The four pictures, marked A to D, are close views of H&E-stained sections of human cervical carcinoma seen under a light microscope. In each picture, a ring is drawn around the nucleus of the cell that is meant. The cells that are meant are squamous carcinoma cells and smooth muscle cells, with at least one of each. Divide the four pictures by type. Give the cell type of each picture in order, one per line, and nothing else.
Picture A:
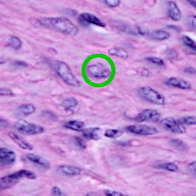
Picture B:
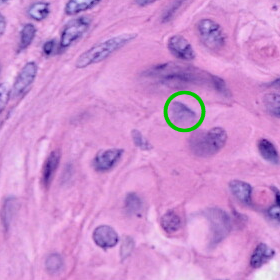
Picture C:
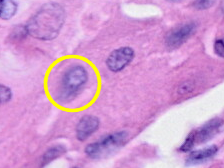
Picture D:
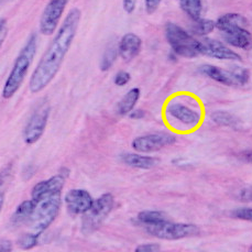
smooth muscle cell
squamous carcinoma cell
squamous carcinoma cell
smooth muscle cell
